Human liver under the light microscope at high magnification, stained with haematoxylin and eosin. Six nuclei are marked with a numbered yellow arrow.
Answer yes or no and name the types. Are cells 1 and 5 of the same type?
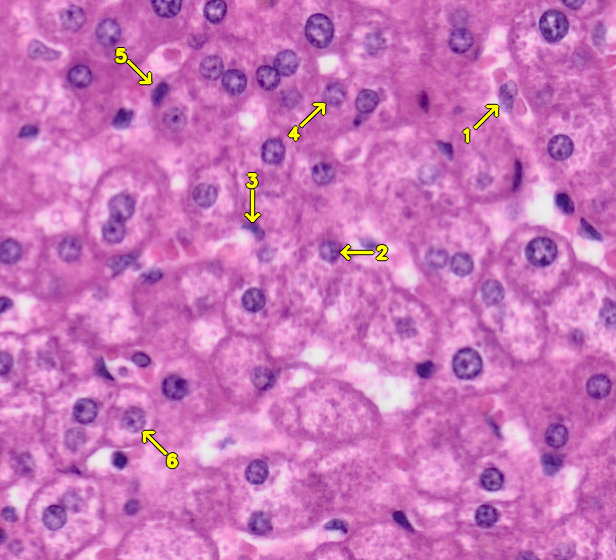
No, cell 1 is a Kupffer cell; cell 5 is a fibroblast or stellate cell.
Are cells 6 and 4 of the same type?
Yes, cells 6 and 4 are both recognised as hepatocytes.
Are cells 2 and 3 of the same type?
No, that's wrong; cell 2 is a hepatocyte and cell 3 is an endothelial cell.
